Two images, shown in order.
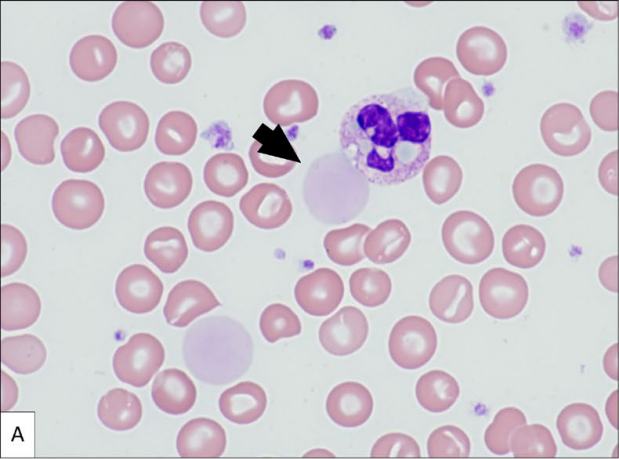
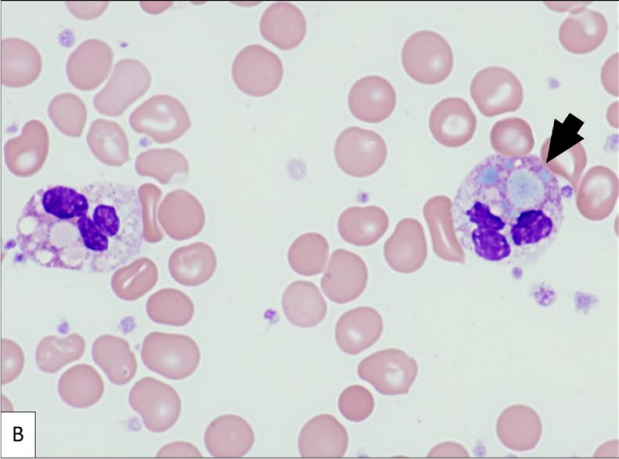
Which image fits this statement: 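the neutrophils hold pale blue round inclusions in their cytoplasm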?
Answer: The second image.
